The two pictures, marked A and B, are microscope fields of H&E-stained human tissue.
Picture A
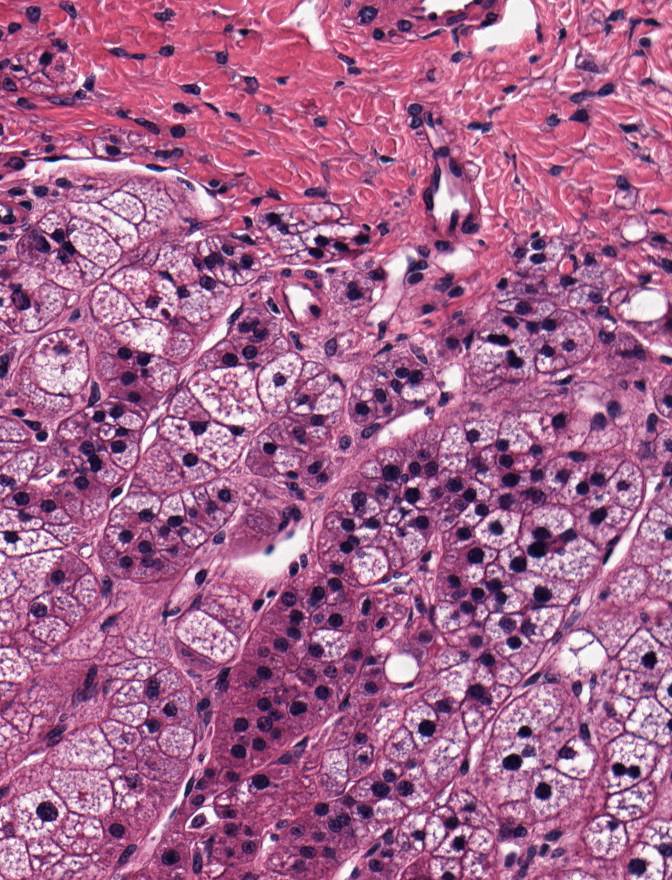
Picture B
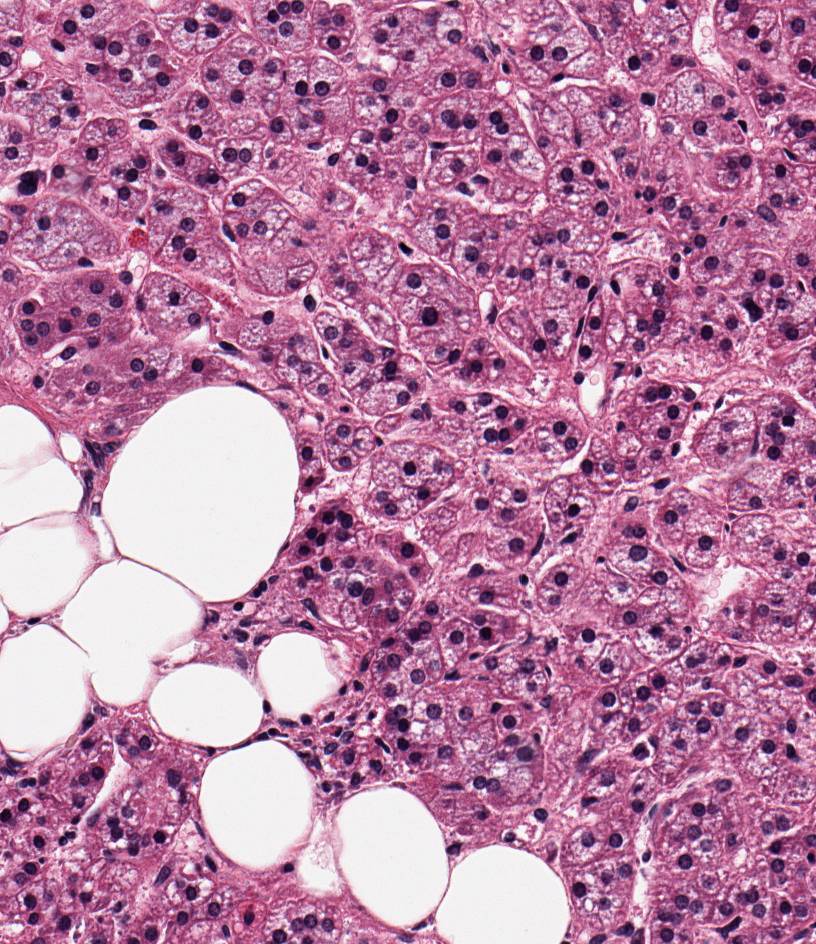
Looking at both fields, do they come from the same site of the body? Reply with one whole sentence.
Yes, they come from the same site of the body: both come from the adrenal gland.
